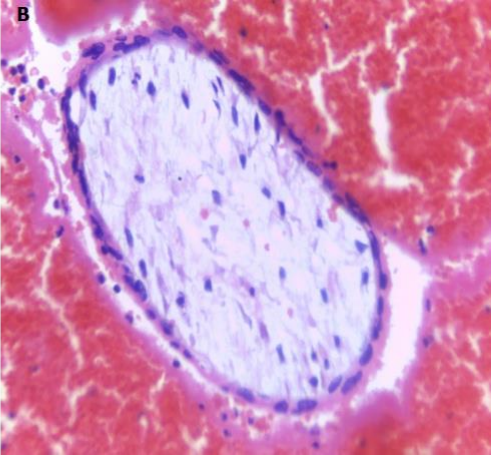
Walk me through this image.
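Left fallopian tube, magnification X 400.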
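A chorionic villus in cross section lies within a background of red blood cells. Its core is pale, loose and faintly fibrillar, an immature mesenchyme with widely spaced spindle and stellate nuclei. No vessels are seen in the core. The surface is covered by a thin continuous layer of trophoblast with dark, crowded, elongated nuclei. A narrow clear space separates part of the villus from the surrounding packed red cells.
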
